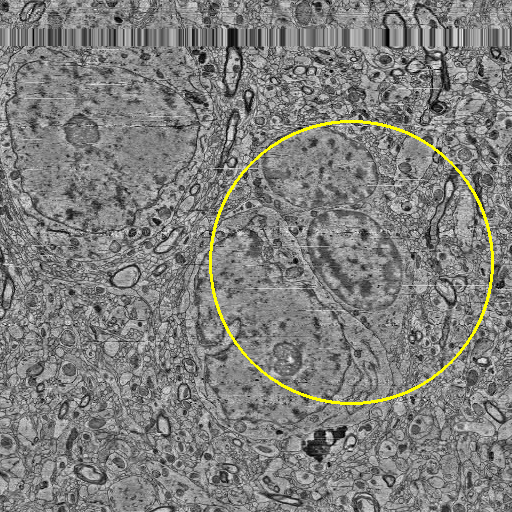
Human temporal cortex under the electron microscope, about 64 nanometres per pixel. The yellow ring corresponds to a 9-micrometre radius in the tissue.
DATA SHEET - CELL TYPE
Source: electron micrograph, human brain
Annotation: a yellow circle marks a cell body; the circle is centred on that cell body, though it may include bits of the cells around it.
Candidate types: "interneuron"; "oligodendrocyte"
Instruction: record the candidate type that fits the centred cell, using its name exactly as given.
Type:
oligodendrocyte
